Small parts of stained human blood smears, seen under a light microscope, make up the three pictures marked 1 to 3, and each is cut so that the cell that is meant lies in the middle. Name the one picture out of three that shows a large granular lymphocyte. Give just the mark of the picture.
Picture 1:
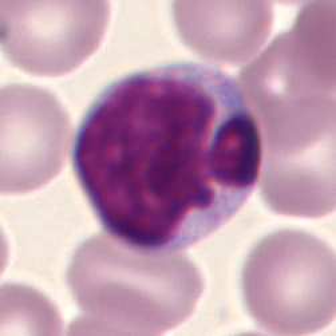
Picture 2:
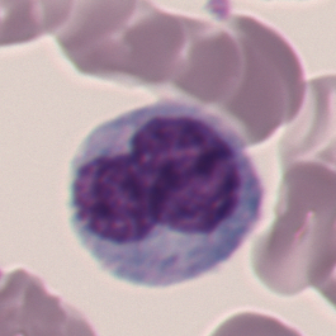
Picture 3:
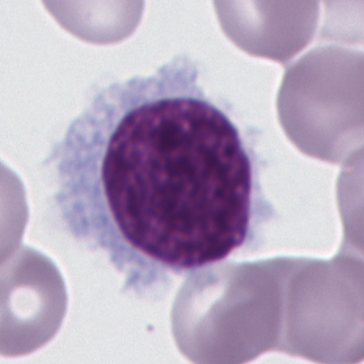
1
